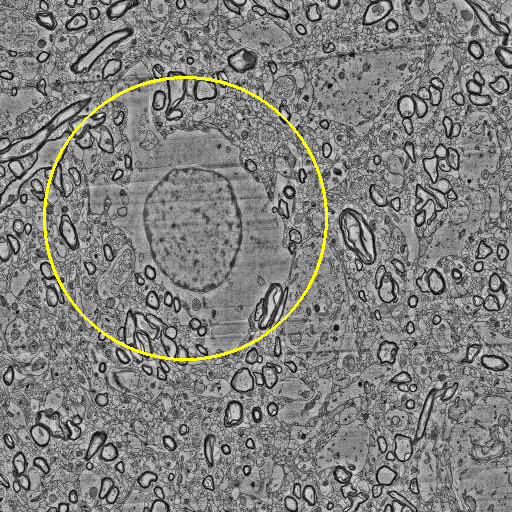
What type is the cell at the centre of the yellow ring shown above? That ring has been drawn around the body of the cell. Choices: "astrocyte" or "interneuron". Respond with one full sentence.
My answer is that an astrocyte lies at the centre of the yellow ring above.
